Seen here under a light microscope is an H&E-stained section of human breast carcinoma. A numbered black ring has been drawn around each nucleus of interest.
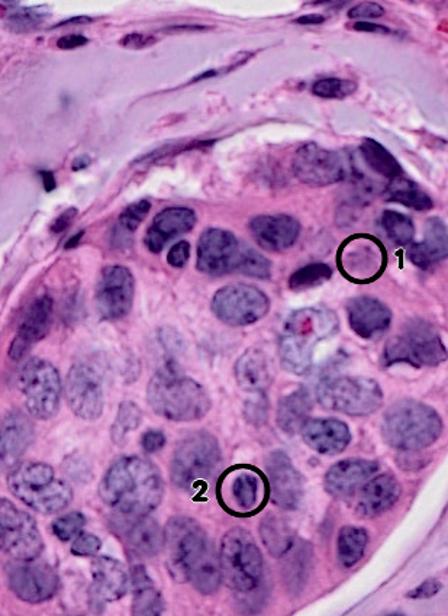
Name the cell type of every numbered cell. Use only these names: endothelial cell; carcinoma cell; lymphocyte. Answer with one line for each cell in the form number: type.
1: carcinoma cell
2: lymphocyte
